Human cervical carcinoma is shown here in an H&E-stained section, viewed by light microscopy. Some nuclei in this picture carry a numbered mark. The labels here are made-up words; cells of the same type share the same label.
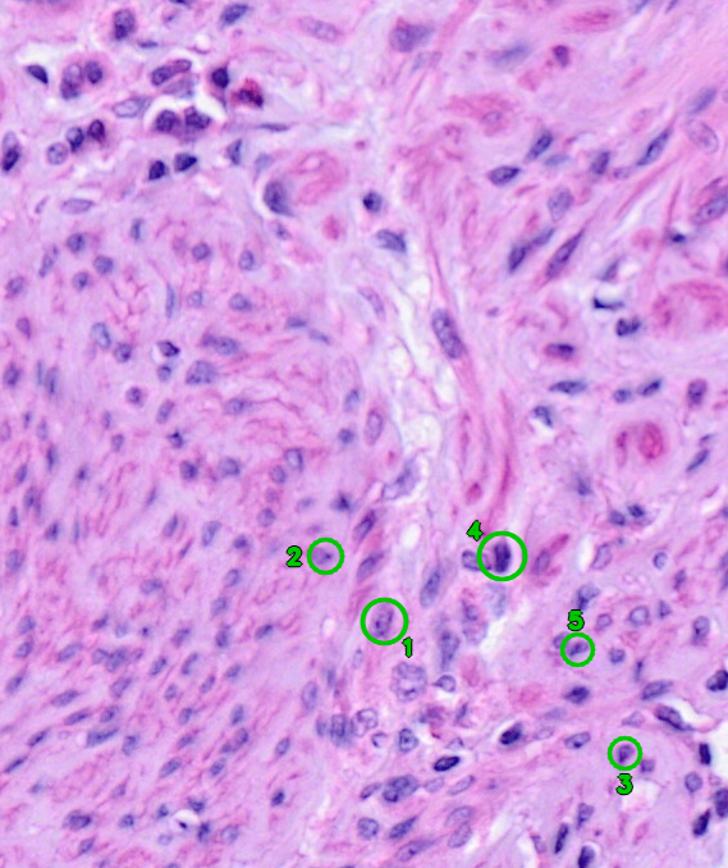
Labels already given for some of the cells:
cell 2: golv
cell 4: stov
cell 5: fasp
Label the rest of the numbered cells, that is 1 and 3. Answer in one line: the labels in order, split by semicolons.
golv; fasp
